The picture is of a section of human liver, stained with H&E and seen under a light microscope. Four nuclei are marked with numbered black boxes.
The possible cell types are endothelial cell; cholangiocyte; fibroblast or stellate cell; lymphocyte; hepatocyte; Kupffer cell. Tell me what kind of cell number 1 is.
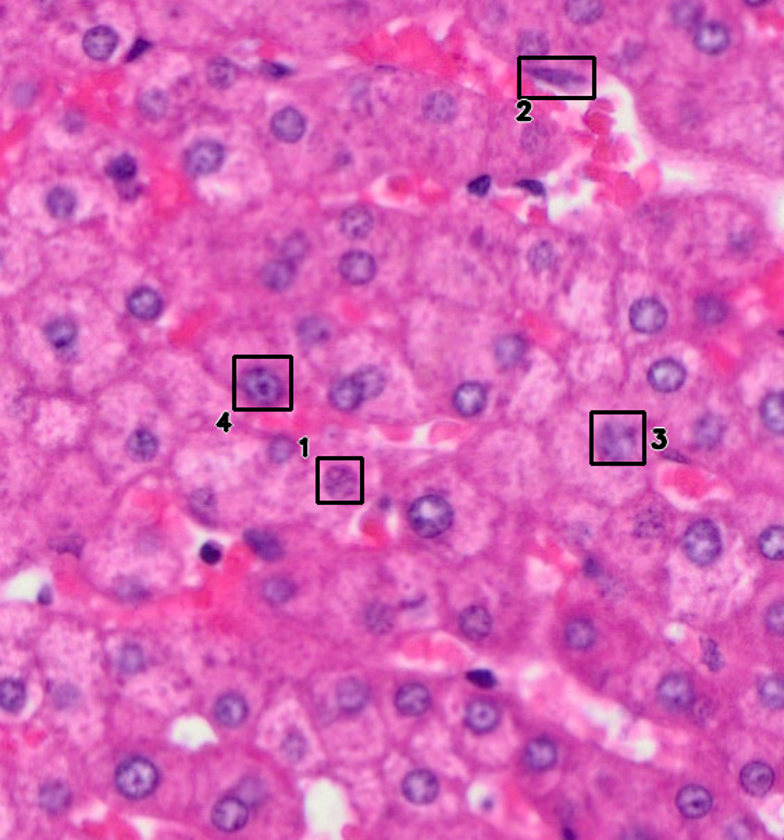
hepatocyte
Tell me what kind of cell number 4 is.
hepatocyte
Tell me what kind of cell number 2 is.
Kupffer cell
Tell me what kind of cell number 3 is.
hepatocyte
